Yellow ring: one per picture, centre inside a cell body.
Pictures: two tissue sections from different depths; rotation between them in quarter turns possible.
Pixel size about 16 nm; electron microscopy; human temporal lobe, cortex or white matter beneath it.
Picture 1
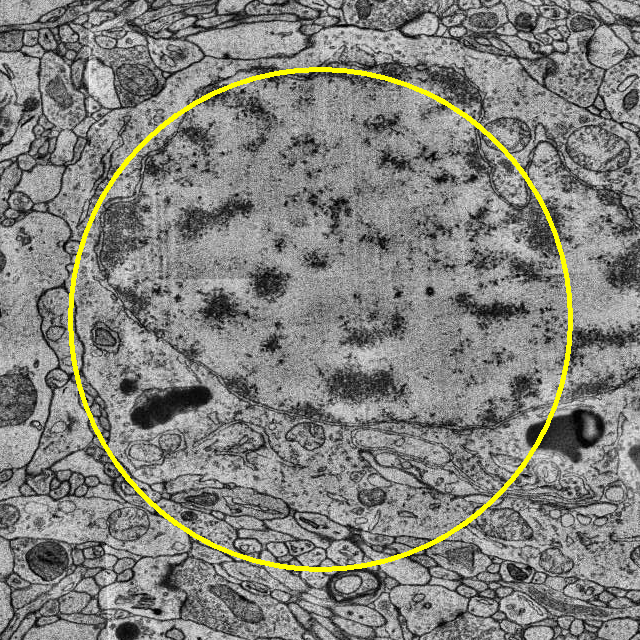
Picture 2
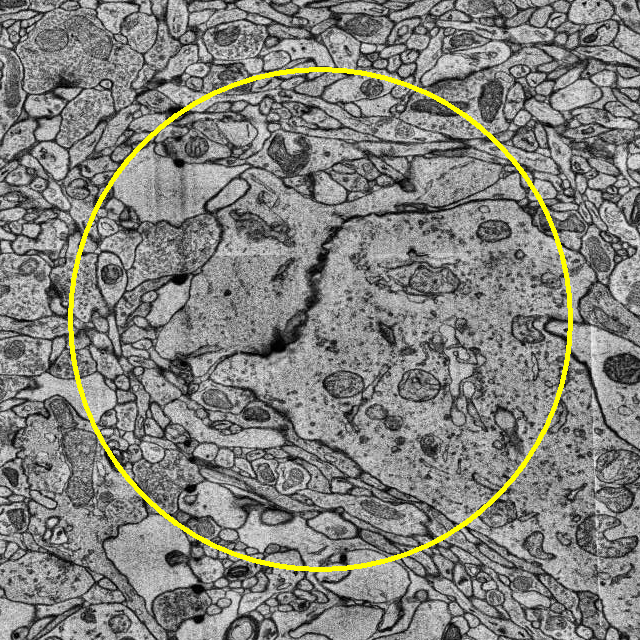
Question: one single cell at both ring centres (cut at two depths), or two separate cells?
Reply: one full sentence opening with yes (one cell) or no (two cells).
Yes, only one cell is involved, and both rings mark it.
